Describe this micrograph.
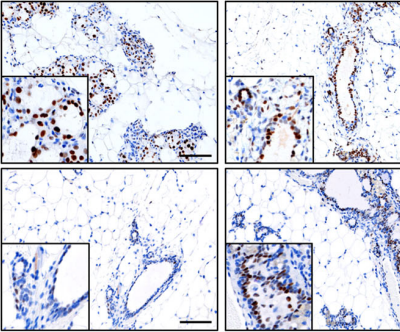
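Mammary gland tissue in which small ducts and clusters of epithelial cells lie within abundant adipose tissue of large, empty fat cells. Many nuclei of the cells lining the ducts are stained brown, while other nuclei, especially in the surrounding connective tissue, are only blue. In some fields the brown nuclei are dense in the duct walls, in others the ducts show scarcely any brown.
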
